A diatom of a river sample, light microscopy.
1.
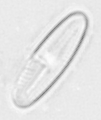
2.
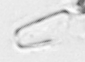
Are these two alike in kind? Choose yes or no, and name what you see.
Yes. Sellaphora.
